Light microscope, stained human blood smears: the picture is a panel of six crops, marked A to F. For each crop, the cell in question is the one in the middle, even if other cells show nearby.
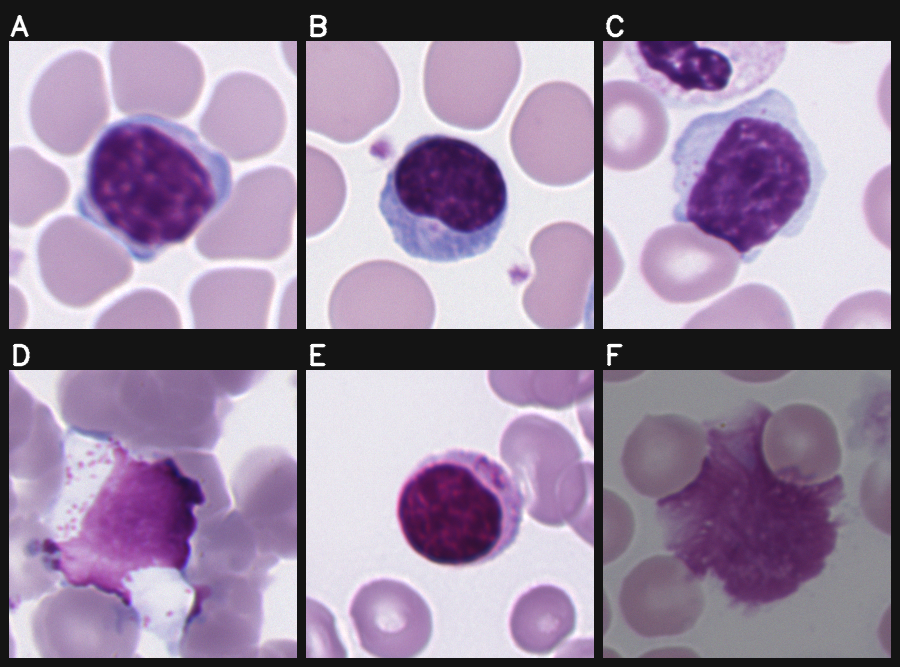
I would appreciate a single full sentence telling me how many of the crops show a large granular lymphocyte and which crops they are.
Seen in three crops, C, D and E, are large granular lymphocytes.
